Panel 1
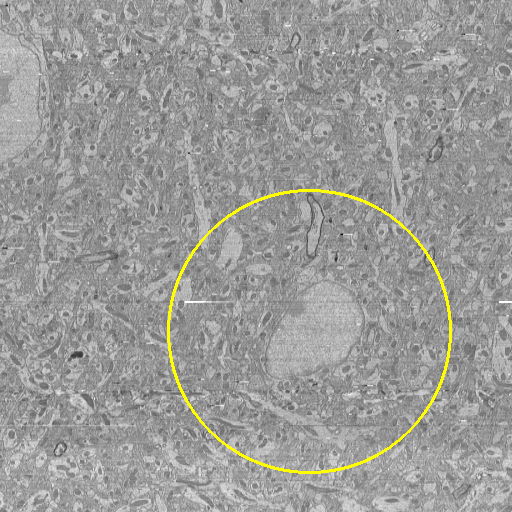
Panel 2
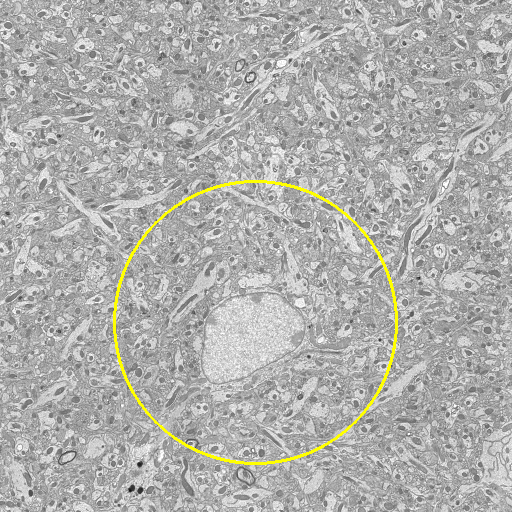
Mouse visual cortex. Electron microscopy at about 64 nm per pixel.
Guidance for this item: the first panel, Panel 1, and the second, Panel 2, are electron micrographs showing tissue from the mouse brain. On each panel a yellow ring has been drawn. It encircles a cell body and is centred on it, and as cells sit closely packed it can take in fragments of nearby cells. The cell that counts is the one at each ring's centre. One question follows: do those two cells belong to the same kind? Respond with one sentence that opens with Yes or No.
Yes, the cells at the ring centres in Panel 1 and Panel 2 are of one kind.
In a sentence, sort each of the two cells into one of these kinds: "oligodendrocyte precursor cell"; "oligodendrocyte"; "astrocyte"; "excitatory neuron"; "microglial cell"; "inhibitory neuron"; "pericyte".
Each of the ringed cells, first and second, is an astrocyte.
